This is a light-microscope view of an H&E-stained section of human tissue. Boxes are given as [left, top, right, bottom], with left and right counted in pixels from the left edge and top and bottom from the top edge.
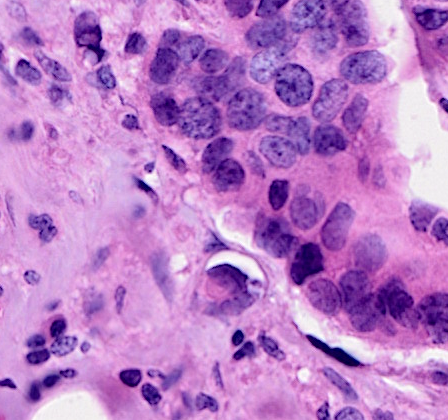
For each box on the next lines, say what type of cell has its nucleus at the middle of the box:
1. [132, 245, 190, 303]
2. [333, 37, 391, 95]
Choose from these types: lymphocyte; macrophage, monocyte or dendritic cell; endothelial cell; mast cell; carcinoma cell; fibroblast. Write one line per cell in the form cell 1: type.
cell 1: fibroblast
cell 2: carcinoma cell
